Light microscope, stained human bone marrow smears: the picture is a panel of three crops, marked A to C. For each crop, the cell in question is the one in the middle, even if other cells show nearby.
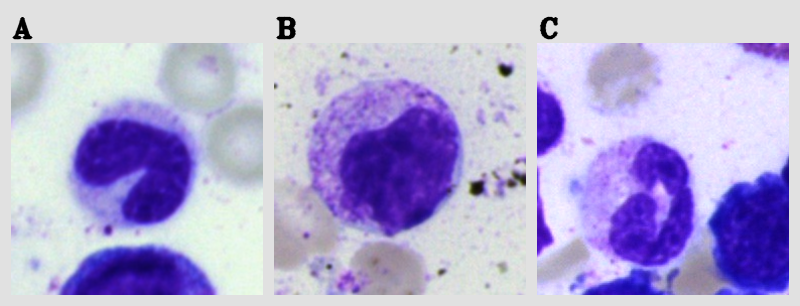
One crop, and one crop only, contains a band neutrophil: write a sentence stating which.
In this set, crop A is the one showing a band neutrophil.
